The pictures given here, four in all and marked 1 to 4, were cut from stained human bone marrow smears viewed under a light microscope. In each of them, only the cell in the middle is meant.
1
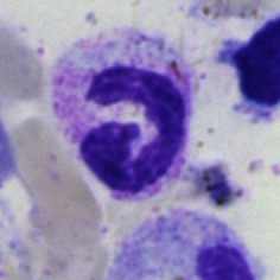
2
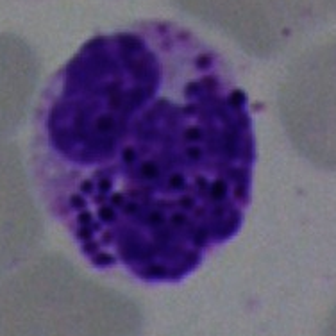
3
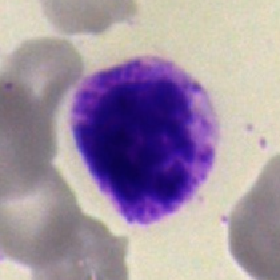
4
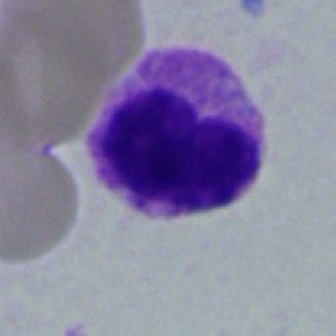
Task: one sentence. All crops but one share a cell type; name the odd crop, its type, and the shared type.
Crop 1 is the one to flag: it is a neutrophil, and the rest show basophils.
